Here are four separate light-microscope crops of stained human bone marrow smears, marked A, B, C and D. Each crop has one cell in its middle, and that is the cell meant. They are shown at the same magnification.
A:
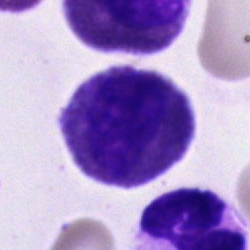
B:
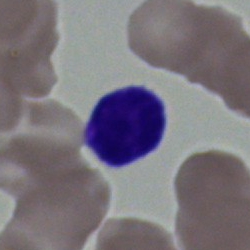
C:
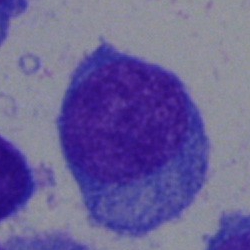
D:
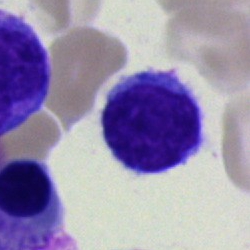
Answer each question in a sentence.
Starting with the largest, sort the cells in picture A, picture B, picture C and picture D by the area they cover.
Going down, they run C, A, D, B.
